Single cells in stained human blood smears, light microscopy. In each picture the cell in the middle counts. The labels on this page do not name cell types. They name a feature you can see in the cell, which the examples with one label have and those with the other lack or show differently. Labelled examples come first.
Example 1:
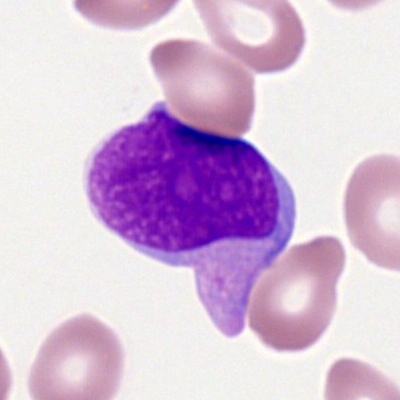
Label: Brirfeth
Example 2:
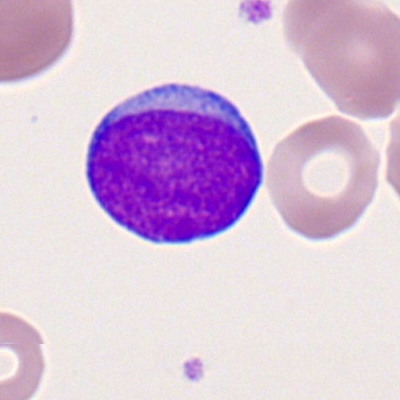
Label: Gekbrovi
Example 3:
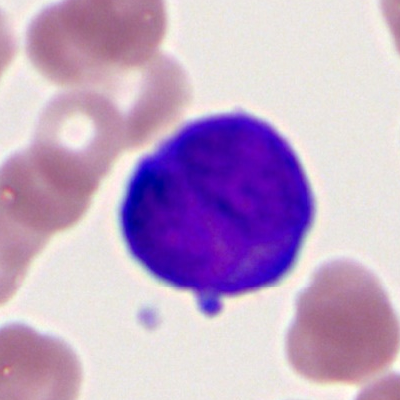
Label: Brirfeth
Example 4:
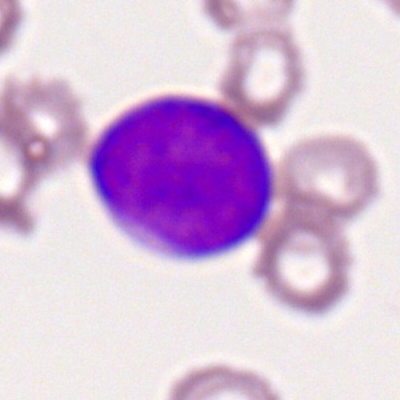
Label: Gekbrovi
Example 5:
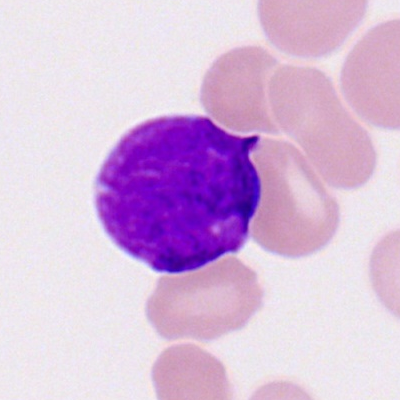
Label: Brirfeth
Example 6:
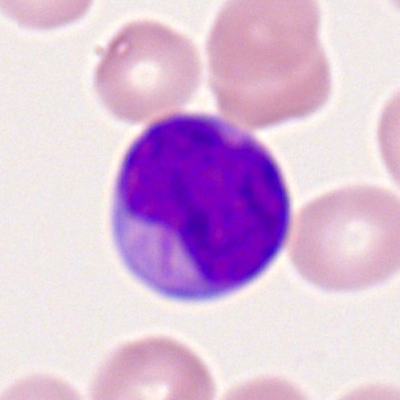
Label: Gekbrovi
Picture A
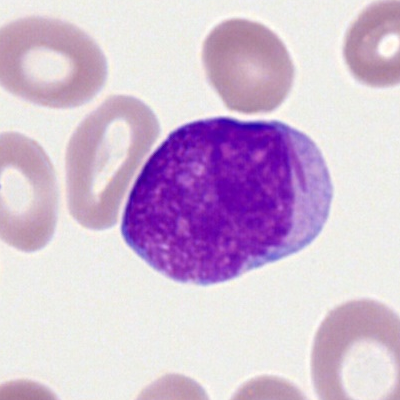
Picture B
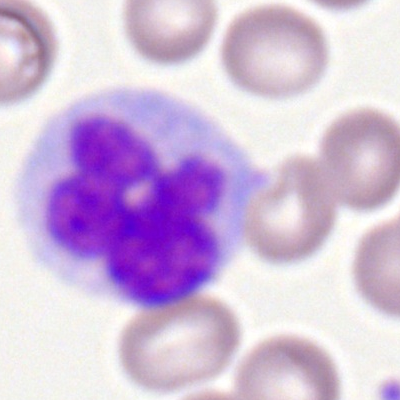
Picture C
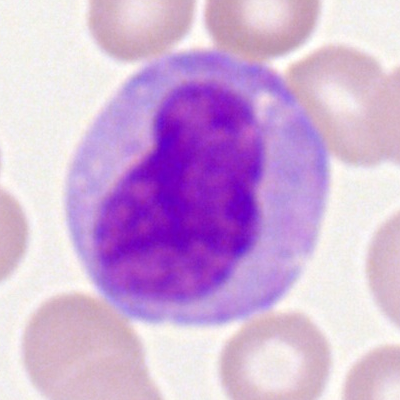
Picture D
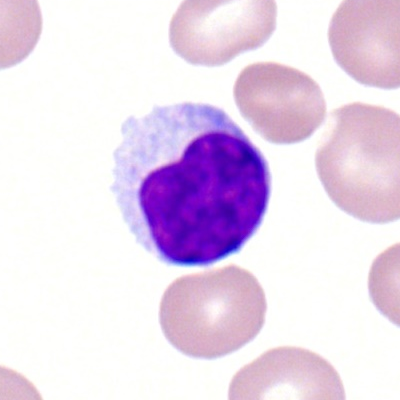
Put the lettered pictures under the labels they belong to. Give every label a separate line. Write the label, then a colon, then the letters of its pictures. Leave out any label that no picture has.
Brirfeth: D
Gekbrovi: A, B, C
